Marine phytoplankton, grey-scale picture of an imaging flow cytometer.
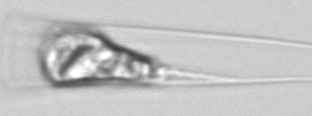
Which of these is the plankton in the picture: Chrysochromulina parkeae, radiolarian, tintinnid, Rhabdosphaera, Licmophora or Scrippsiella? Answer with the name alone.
tintinnid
